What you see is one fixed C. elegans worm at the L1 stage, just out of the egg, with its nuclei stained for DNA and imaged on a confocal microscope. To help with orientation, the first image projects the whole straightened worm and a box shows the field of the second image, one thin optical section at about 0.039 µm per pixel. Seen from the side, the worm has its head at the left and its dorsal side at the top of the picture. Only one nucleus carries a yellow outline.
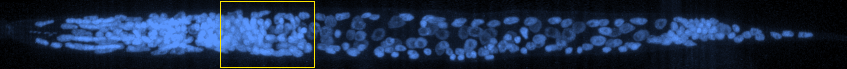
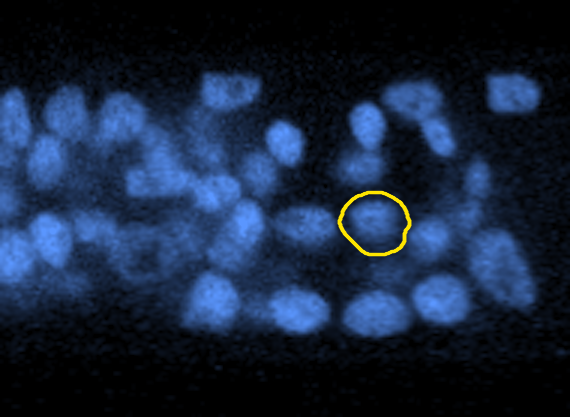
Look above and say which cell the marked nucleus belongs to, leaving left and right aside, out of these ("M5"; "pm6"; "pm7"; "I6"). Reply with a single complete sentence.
The marked nucleus is that of pm7, a pharyngeal muscle cell.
